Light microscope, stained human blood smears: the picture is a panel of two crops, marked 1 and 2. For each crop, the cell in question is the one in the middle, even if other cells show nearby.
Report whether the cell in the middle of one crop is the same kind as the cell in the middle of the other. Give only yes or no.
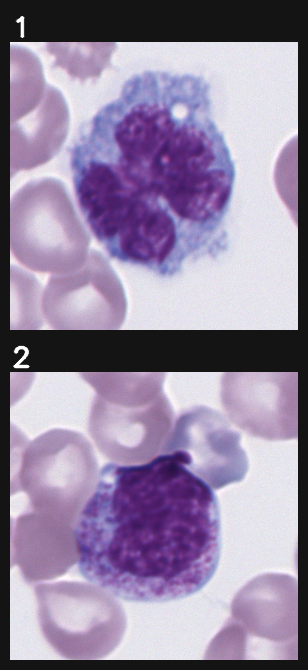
no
